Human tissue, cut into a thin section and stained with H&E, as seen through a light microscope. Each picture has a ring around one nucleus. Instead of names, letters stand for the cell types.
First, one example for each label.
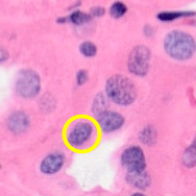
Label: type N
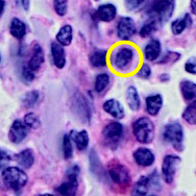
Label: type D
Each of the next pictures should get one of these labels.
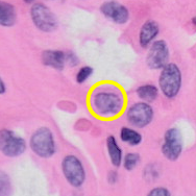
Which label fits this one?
type N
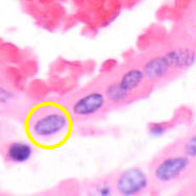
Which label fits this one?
type N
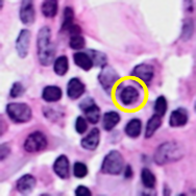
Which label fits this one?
type D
